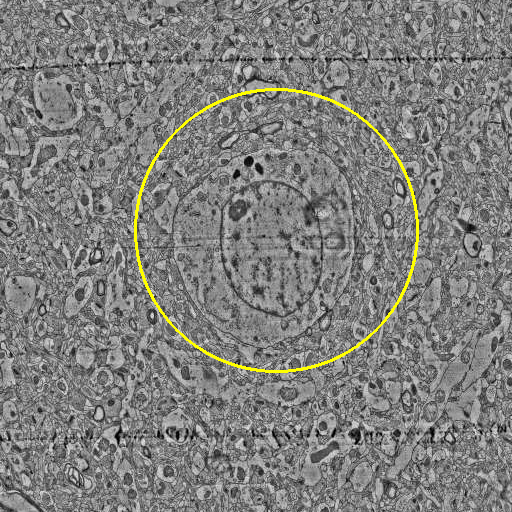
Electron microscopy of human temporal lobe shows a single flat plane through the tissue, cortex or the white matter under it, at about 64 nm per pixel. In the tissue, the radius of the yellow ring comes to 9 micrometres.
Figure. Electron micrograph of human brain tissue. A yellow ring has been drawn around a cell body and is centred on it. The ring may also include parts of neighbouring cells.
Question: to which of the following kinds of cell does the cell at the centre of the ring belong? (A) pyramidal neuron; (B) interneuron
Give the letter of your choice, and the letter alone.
A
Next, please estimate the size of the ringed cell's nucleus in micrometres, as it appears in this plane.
The ringed cell's nucleus is about 9 micrometres long and 7 micrometres wide in this plane.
